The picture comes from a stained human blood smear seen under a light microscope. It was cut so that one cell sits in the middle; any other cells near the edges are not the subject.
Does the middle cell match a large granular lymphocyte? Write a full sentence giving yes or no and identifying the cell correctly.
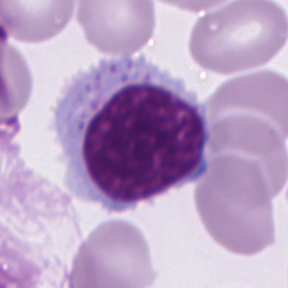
Yes, the central cell here is a large granular lymphocyte.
